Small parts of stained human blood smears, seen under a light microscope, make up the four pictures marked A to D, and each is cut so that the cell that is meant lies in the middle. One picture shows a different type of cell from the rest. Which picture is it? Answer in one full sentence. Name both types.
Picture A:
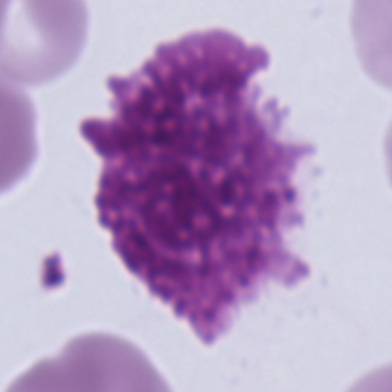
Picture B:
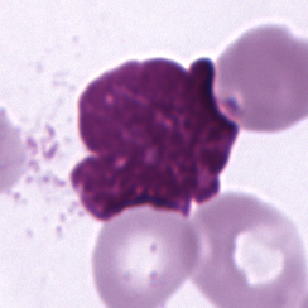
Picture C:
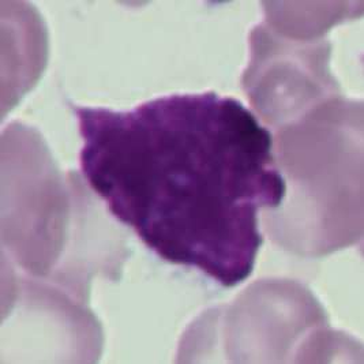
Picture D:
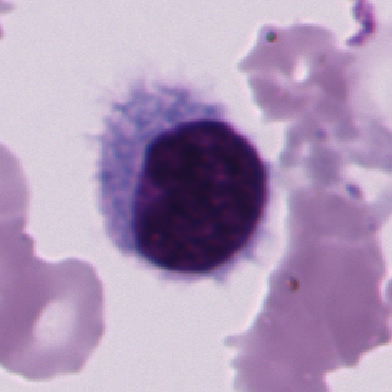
Picture D differs, because its cell is a hairy cell and the rest are smudge cells.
